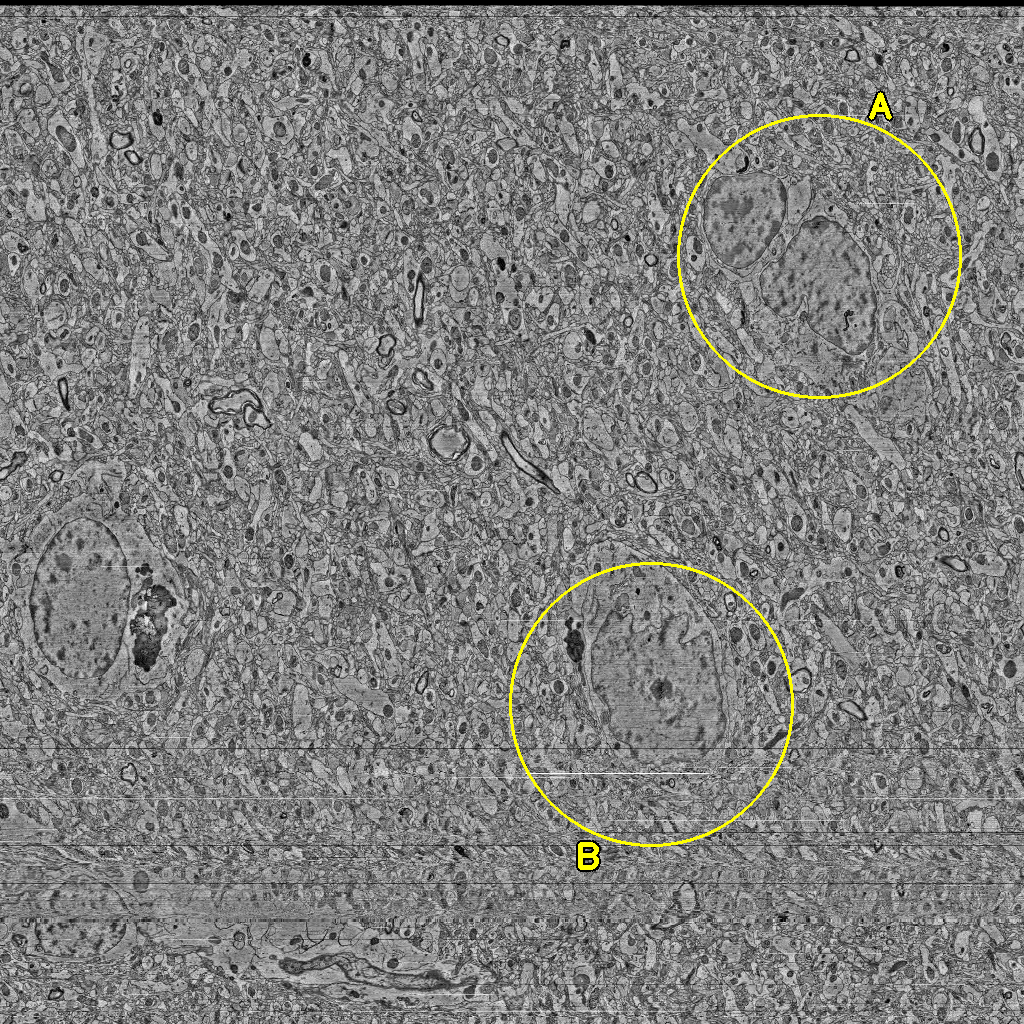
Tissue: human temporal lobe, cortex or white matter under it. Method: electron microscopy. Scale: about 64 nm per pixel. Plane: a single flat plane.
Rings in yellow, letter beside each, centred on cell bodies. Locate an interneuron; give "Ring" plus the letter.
Ring B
